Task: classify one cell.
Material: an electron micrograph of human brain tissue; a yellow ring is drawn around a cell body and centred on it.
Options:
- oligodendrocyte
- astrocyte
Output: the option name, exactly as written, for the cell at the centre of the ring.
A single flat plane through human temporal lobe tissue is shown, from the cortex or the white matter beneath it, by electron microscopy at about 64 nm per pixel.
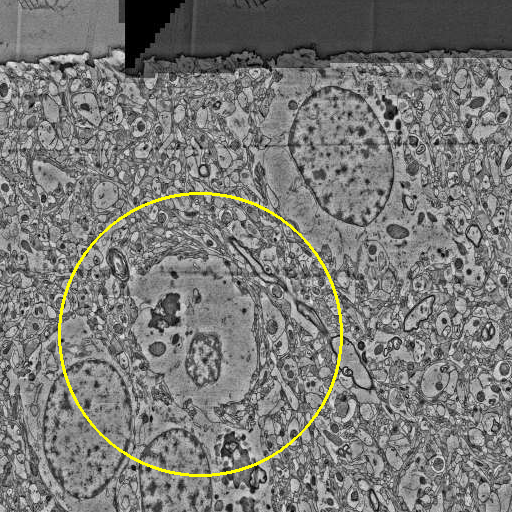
astrocyte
